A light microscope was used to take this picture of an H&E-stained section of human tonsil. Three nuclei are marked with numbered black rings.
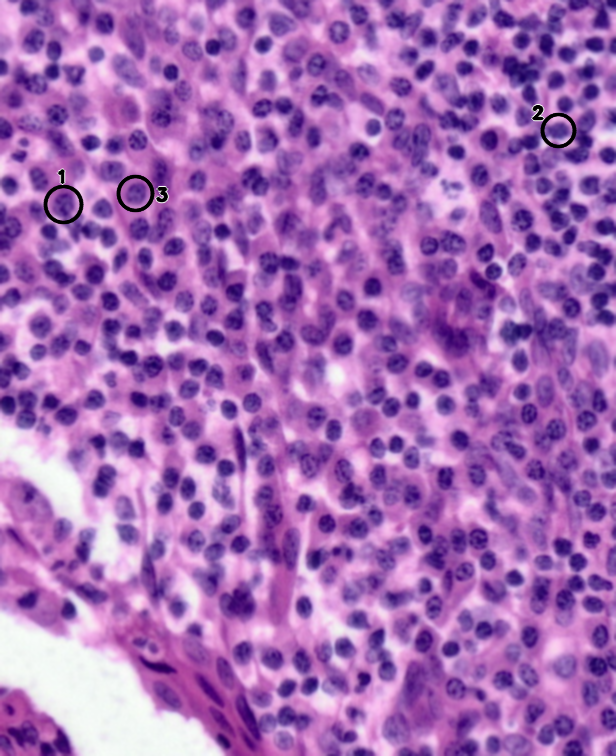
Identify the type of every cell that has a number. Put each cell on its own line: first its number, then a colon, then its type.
1: plasma cell
2: small lymphocyte
3: plasma cell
